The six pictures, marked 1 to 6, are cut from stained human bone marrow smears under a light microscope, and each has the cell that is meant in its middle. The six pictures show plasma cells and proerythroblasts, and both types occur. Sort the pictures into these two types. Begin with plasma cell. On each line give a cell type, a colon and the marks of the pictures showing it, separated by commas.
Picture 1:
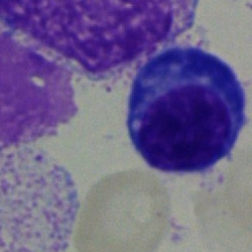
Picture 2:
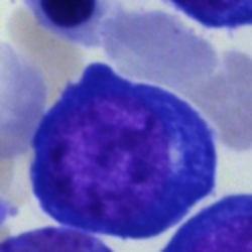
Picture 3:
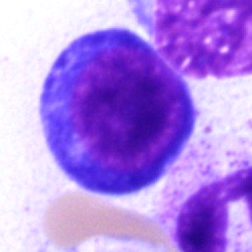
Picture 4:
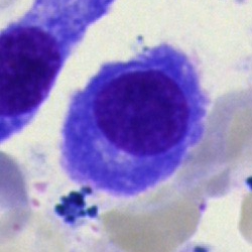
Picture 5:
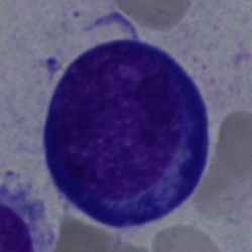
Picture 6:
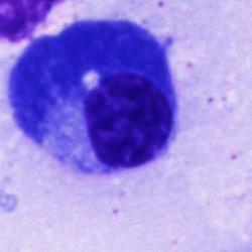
plasma cell: 1, 4, 6
proerythroblast: 2, 3, 5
